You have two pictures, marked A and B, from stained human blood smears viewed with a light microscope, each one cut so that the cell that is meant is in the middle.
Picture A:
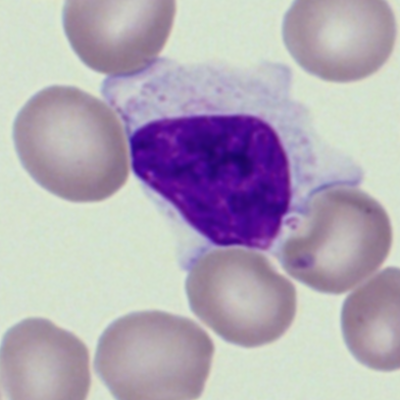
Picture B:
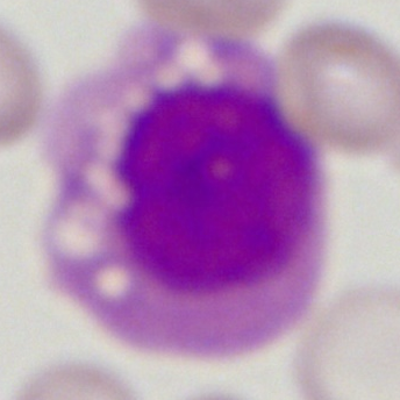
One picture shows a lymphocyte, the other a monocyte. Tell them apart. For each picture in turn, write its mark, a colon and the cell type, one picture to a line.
A: lymphocyte
B: monocyte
